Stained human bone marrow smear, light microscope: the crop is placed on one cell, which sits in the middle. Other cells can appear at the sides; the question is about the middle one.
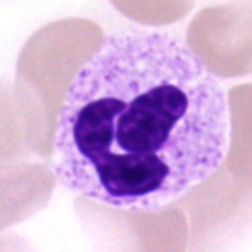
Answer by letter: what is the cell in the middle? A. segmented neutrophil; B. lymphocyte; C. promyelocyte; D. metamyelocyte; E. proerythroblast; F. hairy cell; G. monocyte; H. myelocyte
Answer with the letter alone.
A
